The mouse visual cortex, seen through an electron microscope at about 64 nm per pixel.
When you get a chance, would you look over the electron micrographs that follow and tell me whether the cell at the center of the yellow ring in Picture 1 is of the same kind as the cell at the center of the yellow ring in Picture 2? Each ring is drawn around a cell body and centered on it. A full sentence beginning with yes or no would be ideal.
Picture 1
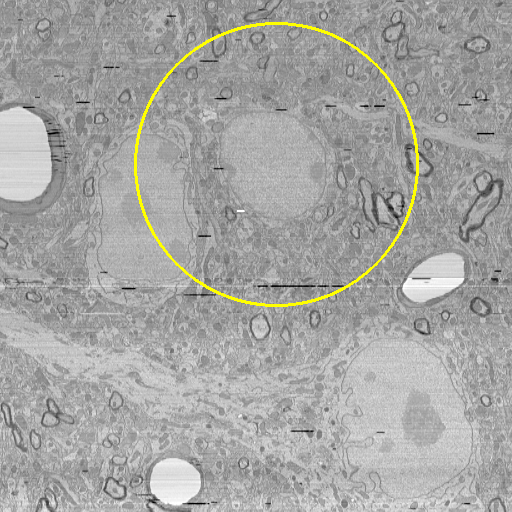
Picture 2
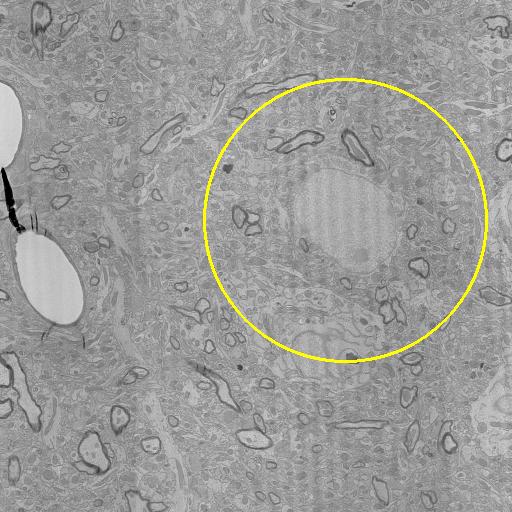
Yes, the two cells are of the same kind.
